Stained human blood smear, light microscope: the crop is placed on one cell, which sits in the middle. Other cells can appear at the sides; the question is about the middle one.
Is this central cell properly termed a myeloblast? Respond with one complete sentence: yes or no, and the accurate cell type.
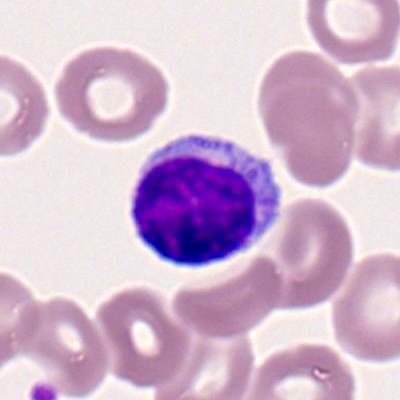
No, a myeloblast is not what the central cell is; it is a lymphocyte.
